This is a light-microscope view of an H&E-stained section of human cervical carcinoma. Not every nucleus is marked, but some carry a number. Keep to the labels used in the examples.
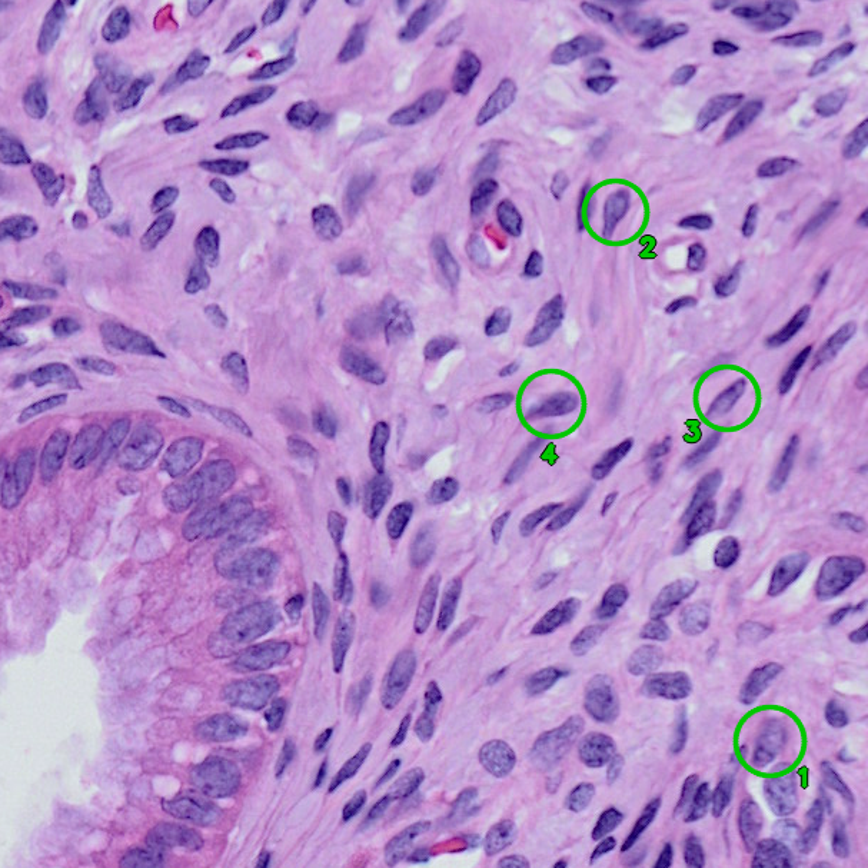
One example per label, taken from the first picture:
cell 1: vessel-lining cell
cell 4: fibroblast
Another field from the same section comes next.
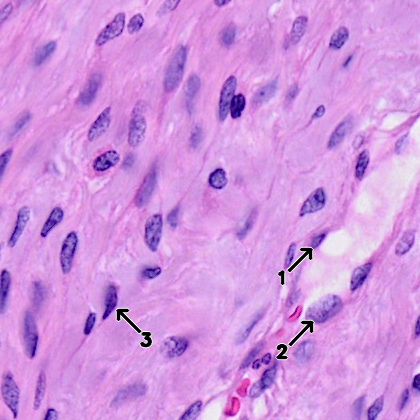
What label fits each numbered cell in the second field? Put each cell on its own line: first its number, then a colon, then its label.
1: vessel-lining cell
2: vessel-lining cell
3: fibroblast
